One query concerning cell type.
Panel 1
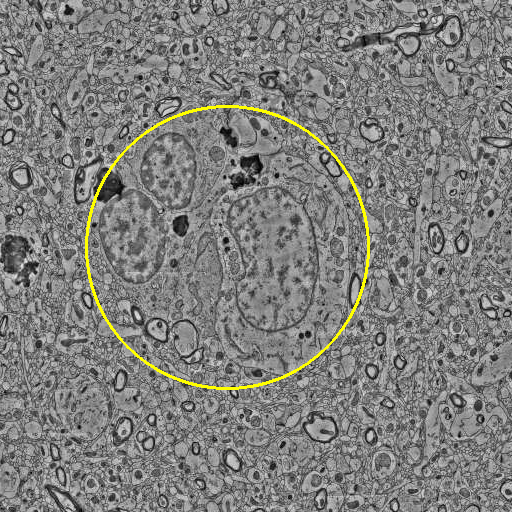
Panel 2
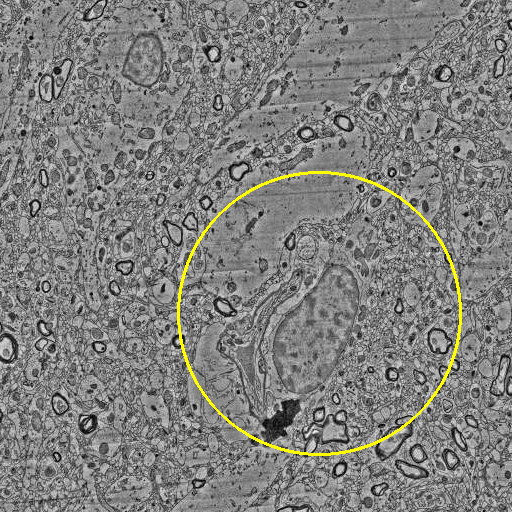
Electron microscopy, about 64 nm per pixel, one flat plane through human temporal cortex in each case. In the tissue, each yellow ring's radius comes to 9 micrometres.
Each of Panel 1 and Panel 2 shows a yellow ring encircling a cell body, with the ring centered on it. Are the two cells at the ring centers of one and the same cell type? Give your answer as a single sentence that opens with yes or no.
Yes, the cell centered in Panel 1 and the one in Panel 2 share a type.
